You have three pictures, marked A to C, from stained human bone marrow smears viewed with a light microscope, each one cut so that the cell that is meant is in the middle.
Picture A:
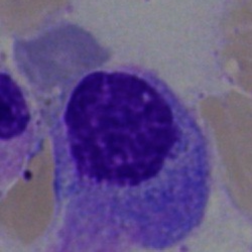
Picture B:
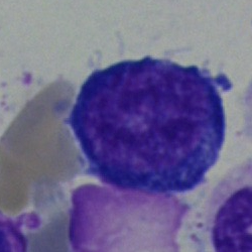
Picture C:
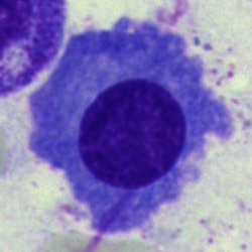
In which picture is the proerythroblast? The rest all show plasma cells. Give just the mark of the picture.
B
